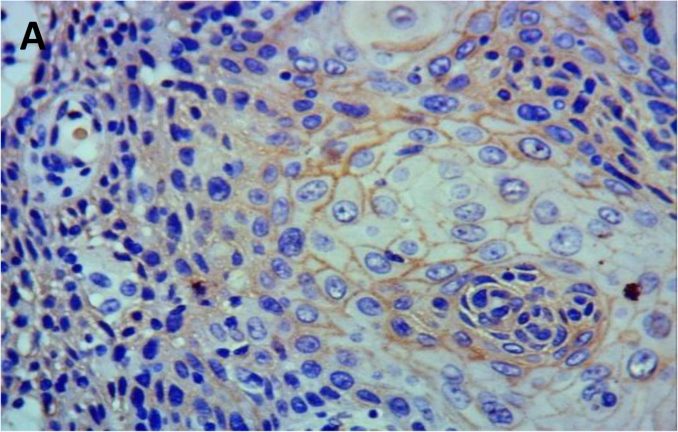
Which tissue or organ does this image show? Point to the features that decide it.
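Squamous cell carcinomas. Sheets of large polygonal cells with distinct cell borders. A concentric whorl of flattened cells forms a pearl-like nest. Enlarged oval nuclei with prominent nucleoli.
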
